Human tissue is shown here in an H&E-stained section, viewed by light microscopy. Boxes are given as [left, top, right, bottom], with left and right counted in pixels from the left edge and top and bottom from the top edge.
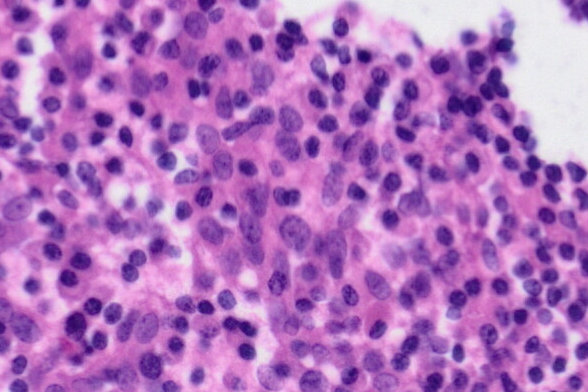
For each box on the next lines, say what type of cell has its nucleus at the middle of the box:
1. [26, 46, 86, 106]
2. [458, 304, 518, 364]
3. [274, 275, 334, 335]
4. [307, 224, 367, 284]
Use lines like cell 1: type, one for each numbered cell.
cell 1: plasma cell
cell 2: plasma cell
cell 3: plasma cell
cell 4: squamous epithelial cell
